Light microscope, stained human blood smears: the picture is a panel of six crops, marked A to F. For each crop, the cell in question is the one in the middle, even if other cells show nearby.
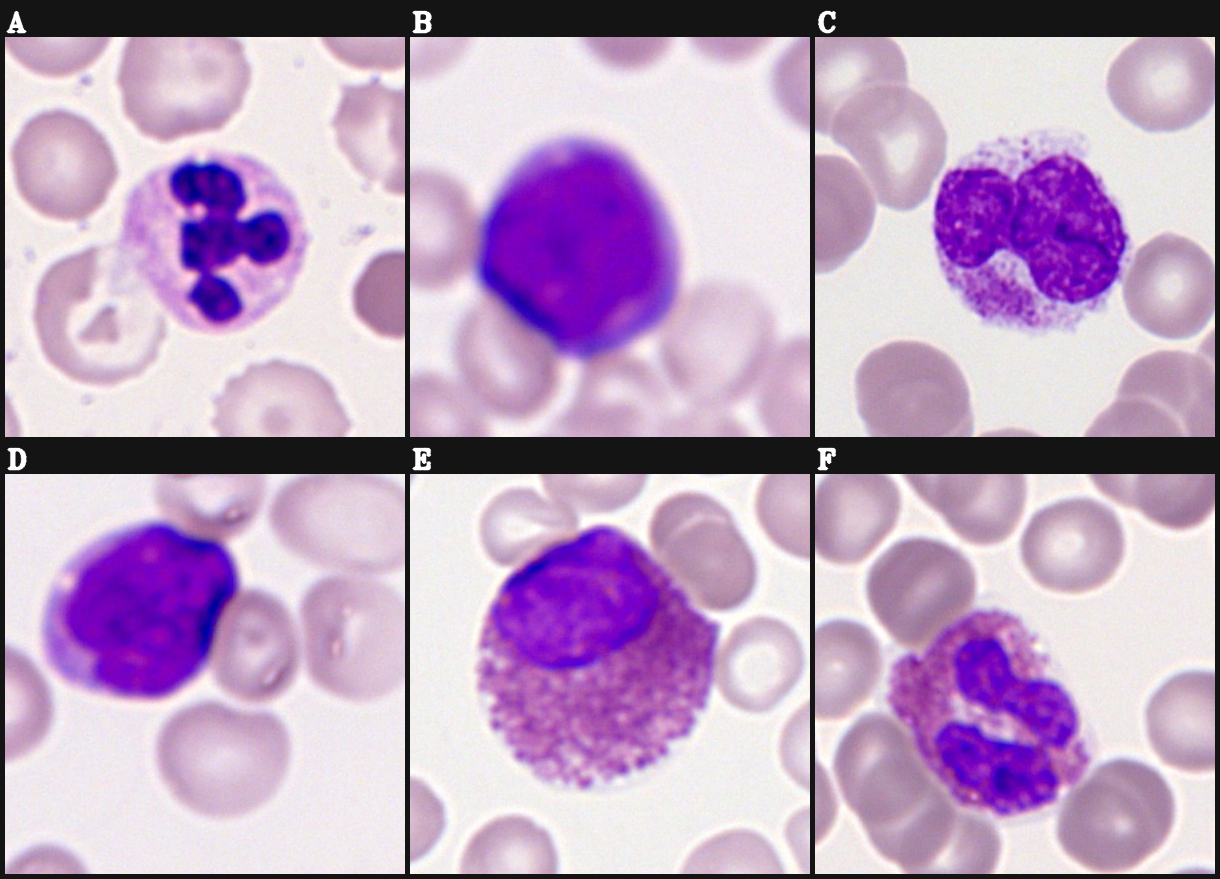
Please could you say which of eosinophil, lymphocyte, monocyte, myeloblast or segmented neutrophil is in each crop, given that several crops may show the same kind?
A: segmented neutrophil
B: myeloblast
C: eosinophil
D: myeloblast
E: eosinophil
F: eosinophil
